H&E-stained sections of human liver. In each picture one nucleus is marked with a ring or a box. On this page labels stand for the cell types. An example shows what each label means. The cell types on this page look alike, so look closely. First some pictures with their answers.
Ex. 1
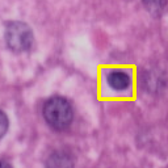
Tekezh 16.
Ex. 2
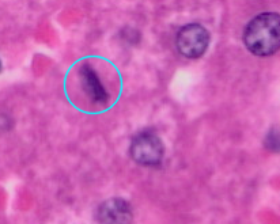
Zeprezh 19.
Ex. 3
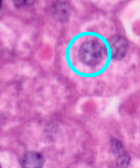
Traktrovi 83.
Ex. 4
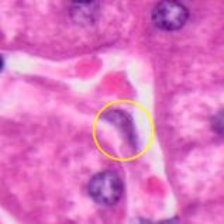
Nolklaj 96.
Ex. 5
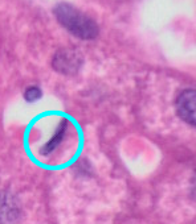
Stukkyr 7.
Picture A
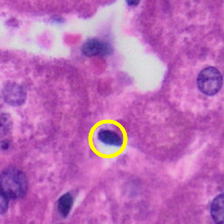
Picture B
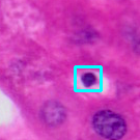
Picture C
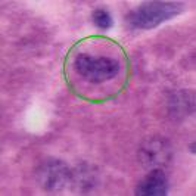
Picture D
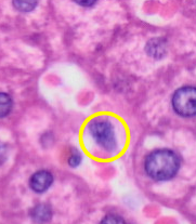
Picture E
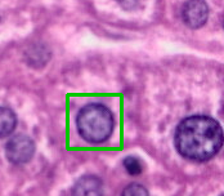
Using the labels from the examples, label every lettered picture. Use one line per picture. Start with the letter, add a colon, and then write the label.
A: Tekezh 16.
B: Tekezh 16.
C: Zeprezh 19.
D: Nolklaj 96.
E: Traktrovi 83.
